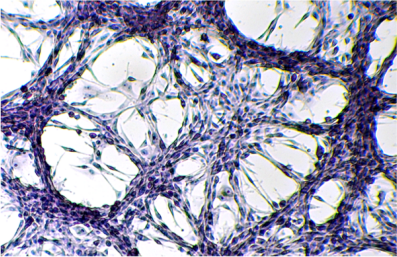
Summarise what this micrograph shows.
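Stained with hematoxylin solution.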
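Dense, dark cords of tightly packed cells with small oval nuclei surround rounded open spaces that are nearly free of cells. Thinner, paler elongated cells with tapered ends stretch across these spaces, linking the cords into a net-like pattern.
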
